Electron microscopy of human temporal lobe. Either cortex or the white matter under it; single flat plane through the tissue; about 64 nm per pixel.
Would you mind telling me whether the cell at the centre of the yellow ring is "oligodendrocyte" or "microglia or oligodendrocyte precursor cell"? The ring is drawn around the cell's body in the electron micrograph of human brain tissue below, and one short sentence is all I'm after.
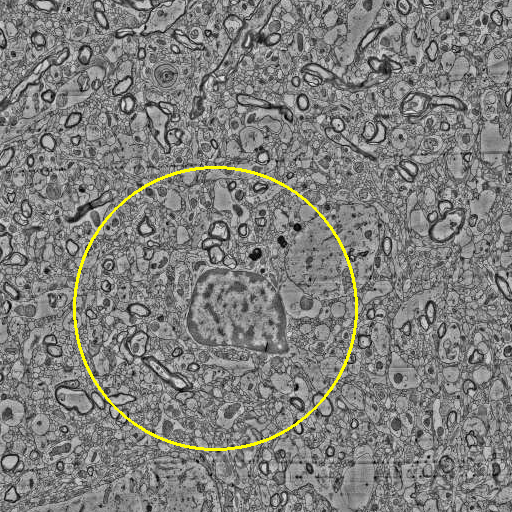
In the centre of the ring lies a microglial cell or oligodendrocyte precursor cell.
